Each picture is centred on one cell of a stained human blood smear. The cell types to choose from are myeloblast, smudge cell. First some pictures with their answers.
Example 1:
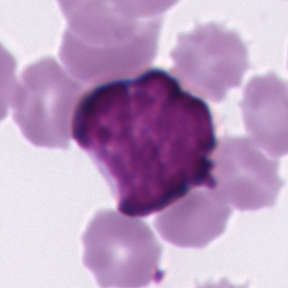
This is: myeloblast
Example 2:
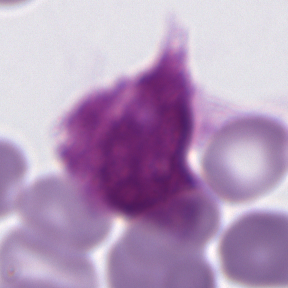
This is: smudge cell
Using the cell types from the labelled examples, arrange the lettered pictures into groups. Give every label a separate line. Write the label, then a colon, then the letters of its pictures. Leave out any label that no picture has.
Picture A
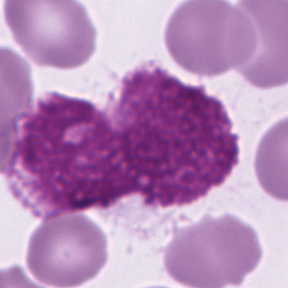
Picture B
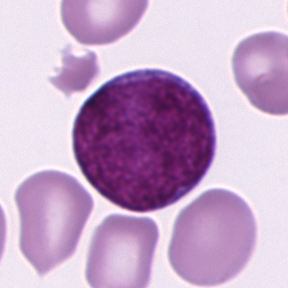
myeloblast: B
smudge cell: A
